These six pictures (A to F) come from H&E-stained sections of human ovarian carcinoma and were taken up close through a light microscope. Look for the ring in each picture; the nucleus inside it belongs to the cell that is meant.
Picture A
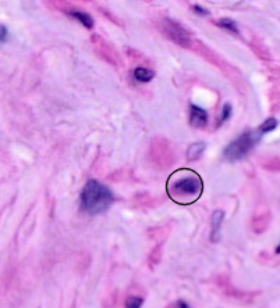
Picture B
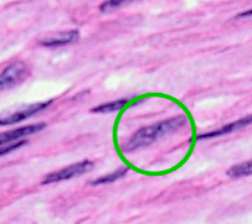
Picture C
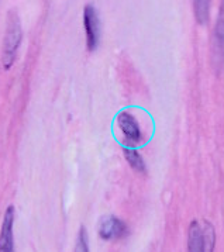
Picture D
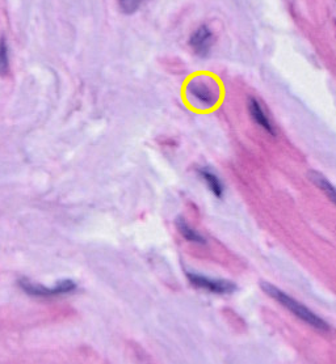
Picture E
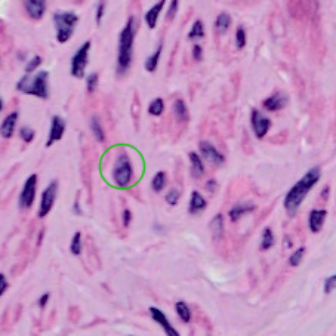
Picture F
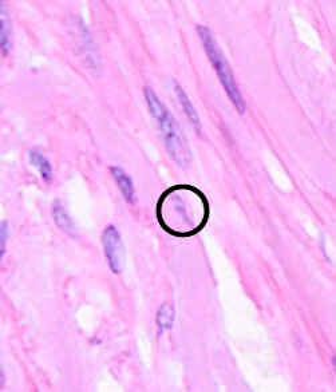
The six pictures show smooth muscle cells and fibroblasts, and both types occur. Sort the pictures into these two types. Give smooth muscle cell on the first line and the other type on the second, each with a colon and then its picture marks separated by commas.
smooth muscle cell: A, C, D, E
fibroblast: B, F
